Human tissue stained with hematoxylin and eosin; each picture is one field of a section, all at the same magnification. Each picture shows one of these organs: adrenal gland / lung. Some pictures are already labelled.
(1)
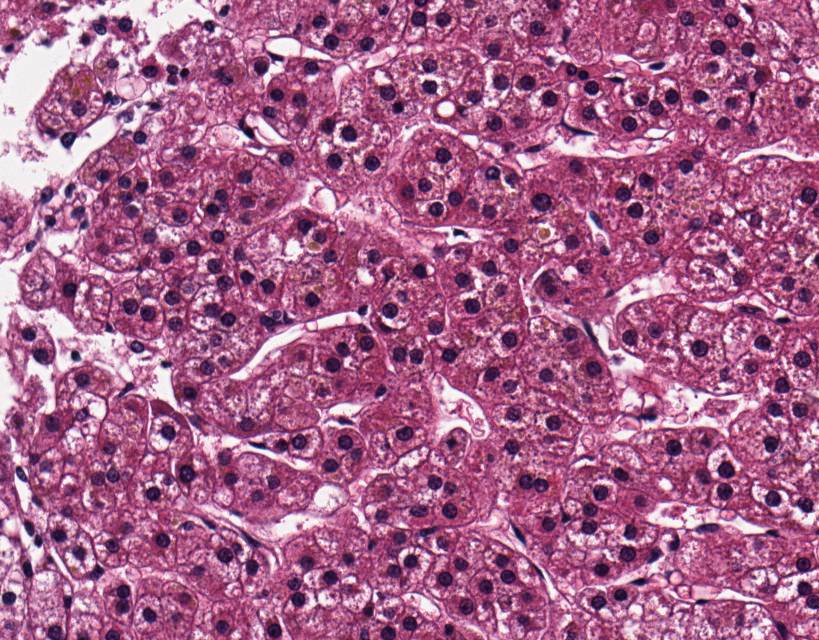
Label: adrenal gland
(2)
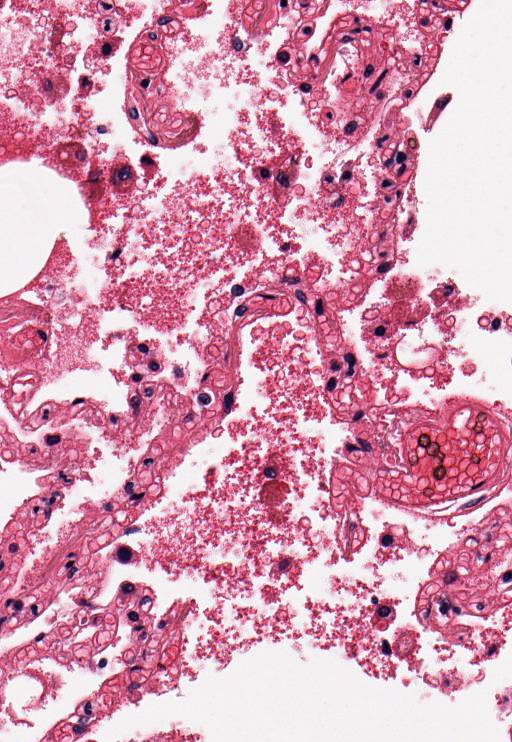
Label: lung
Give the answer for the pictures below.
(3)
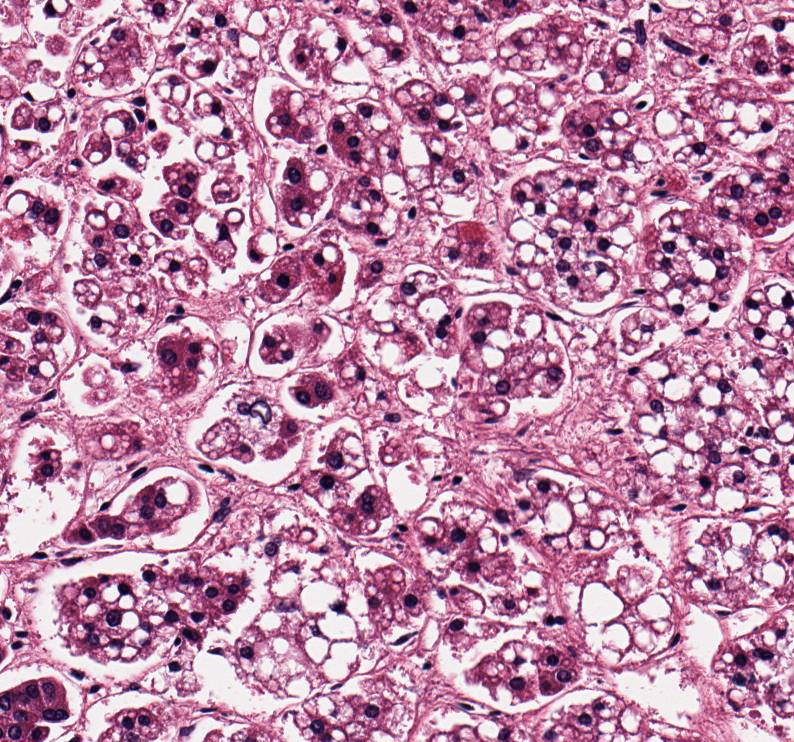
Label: adrenal gland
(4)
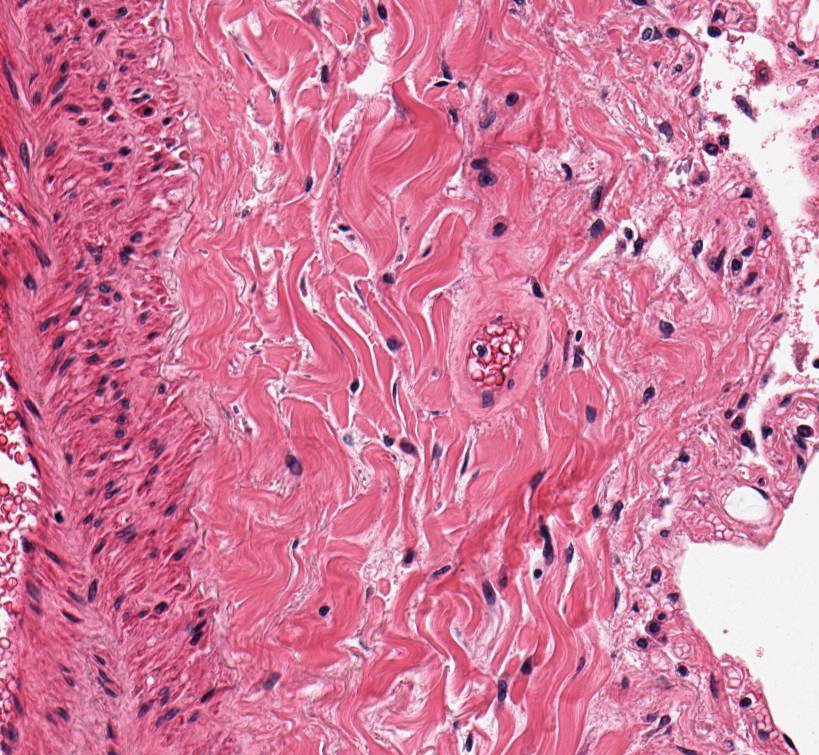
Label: lung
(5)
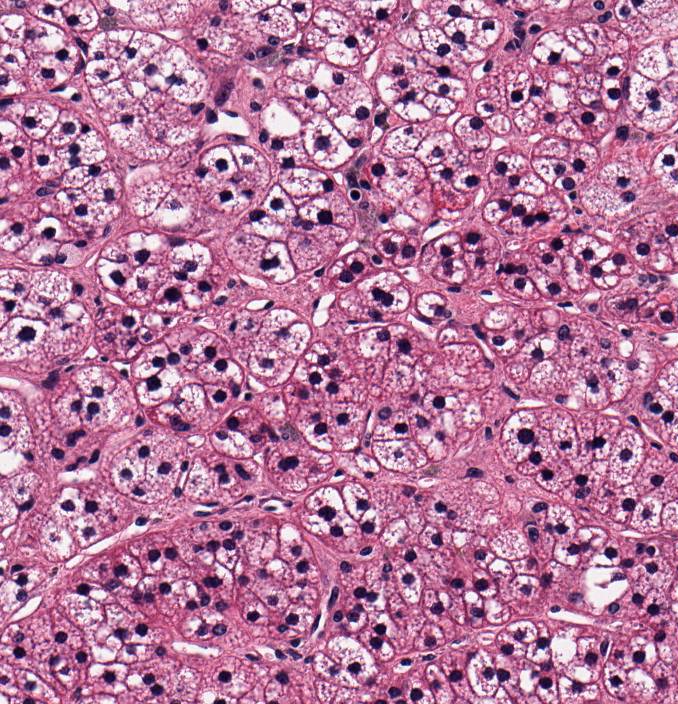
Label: adrenal gland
